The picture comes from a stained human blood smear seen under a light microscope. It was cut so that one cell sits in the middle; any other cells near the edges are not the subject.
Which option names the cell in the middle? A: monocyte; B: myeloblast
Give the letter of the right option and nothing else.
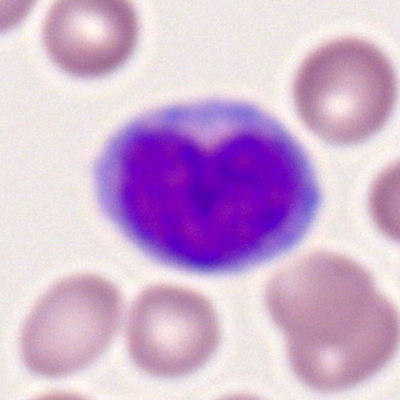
A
